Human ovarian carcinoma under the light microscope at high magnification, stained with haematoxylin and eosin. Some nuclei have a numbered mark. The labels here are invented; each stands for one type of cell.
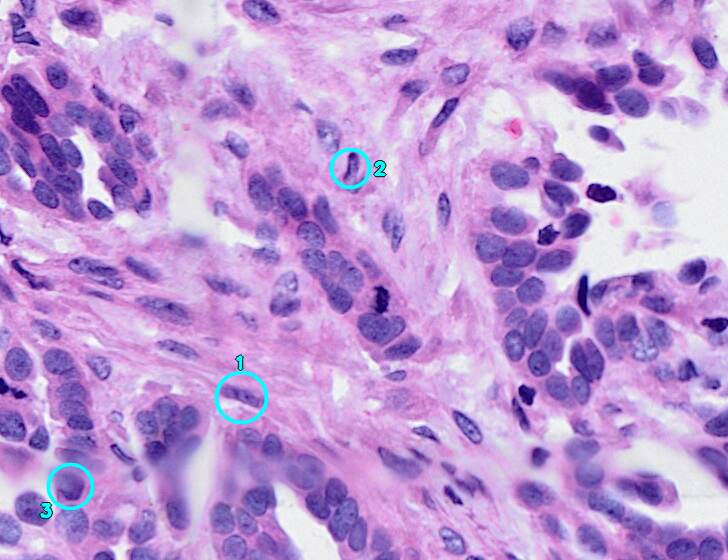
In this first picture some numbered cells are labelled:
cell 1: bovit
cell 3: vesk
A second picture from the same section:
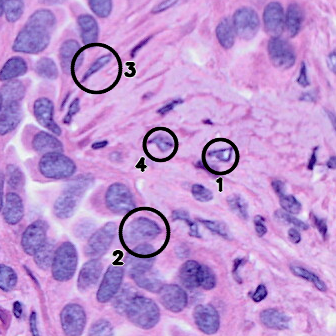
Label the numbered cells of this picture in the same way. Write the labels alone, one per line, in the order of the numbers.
bovit
vesk
bovit
bovit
